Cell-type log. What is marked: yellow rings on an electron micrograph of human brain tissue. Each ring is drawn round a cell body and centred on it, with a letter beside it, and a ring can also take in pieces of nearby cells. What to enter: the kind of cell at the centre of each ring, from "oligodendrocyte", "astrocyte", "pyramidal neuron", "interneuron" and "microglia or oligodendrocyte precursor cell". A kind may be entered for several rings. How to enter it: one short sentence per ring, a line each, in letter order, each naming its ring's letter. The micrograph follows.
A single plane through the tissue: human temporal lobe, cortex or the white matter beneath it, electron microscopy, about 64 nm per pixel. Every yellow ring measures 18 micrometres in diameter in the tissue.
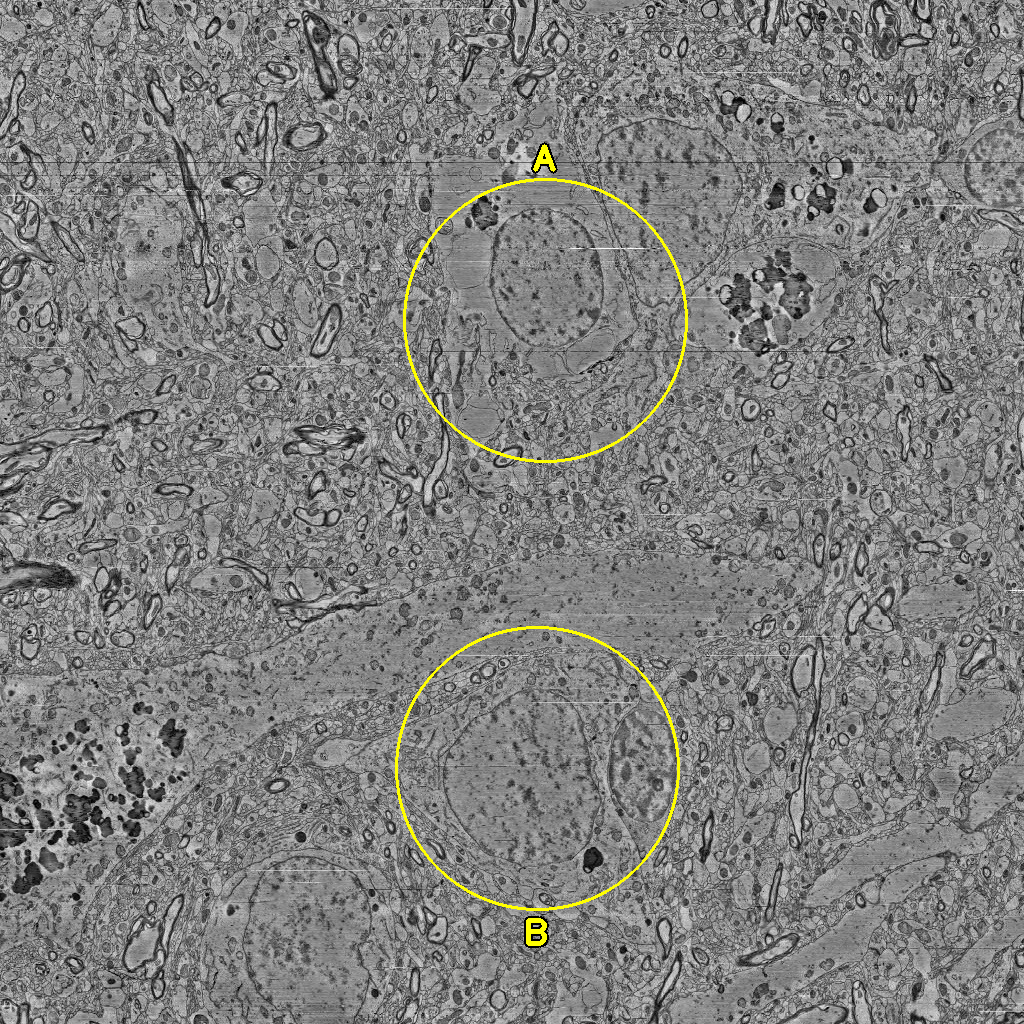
For ring A, the centre cell is an astrocyte.
For ring B, the centre cell is an interneuron.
